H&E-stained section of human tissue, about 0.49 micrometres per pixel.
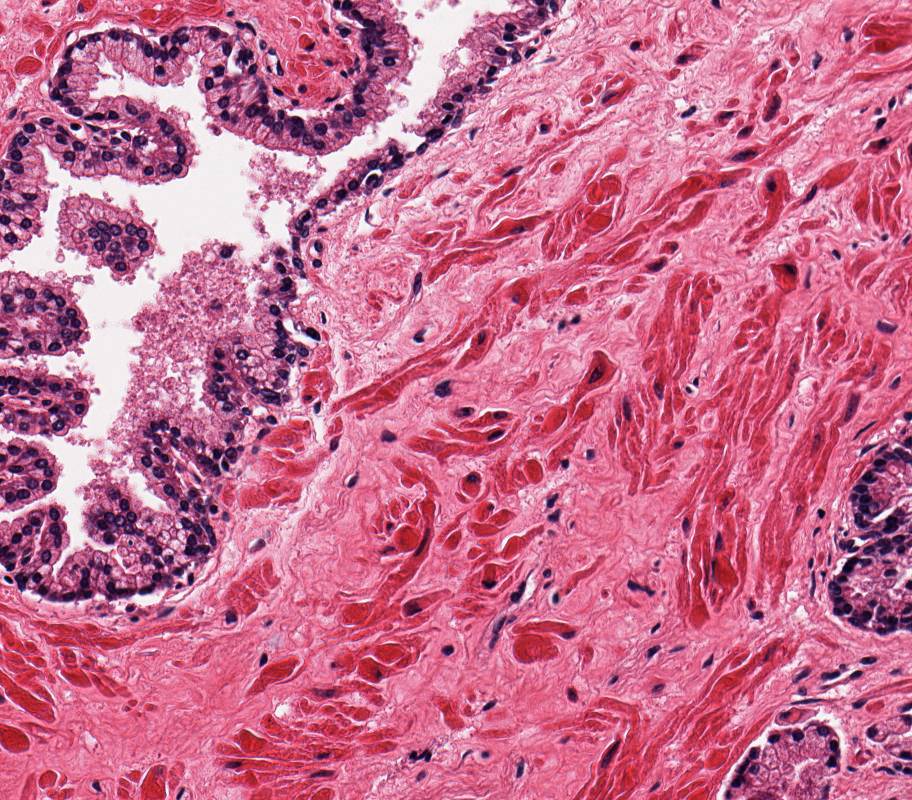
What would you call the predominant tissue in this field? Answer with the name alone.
fibromuscular stroma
